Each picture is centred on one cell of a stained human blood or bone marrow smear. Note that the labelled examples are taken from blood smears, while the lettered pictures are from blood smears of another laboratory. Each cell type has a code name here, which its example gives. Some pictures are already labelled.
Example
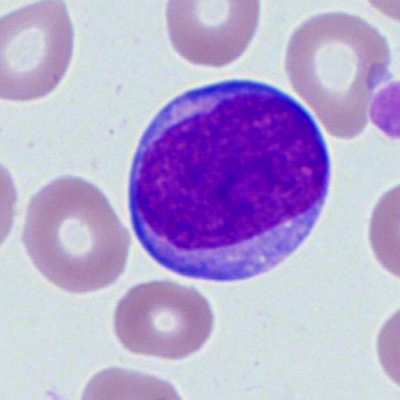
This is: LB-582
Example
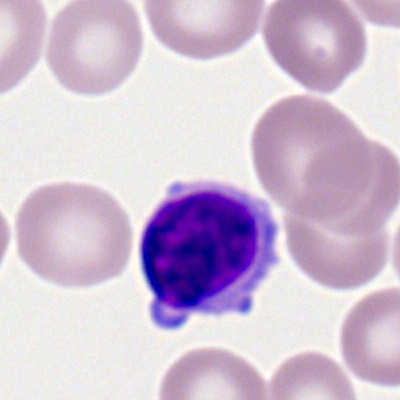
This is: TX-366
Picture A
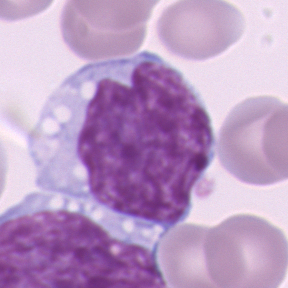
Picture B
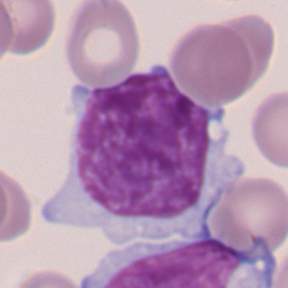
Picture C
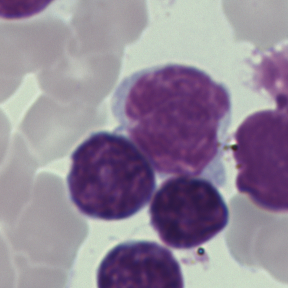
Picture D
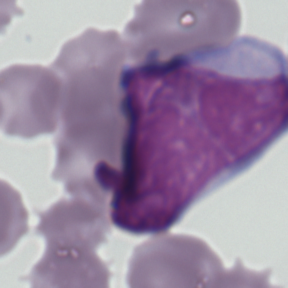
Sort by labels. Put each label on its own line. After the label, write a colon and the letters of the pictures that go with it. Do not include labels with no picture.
LB-582: A, B, C, D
